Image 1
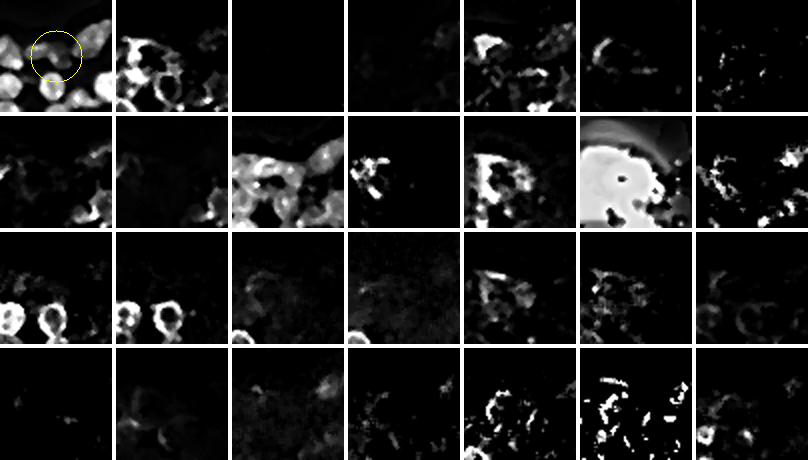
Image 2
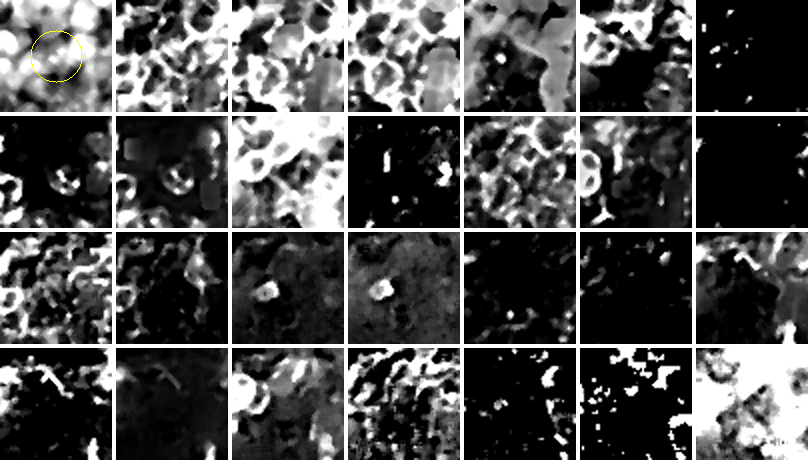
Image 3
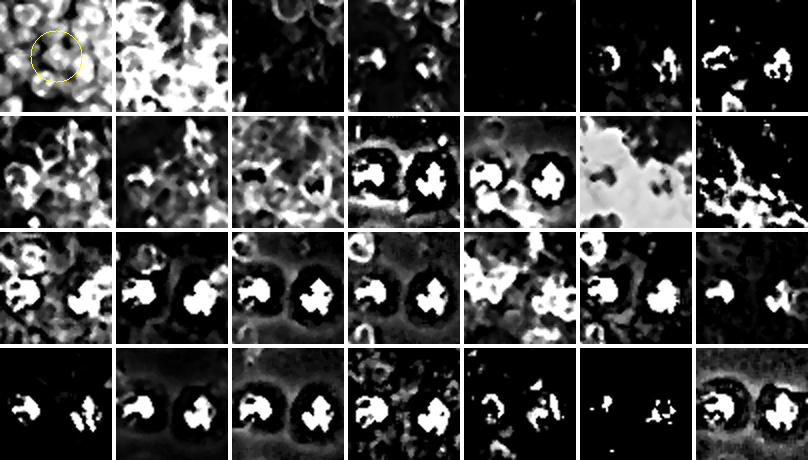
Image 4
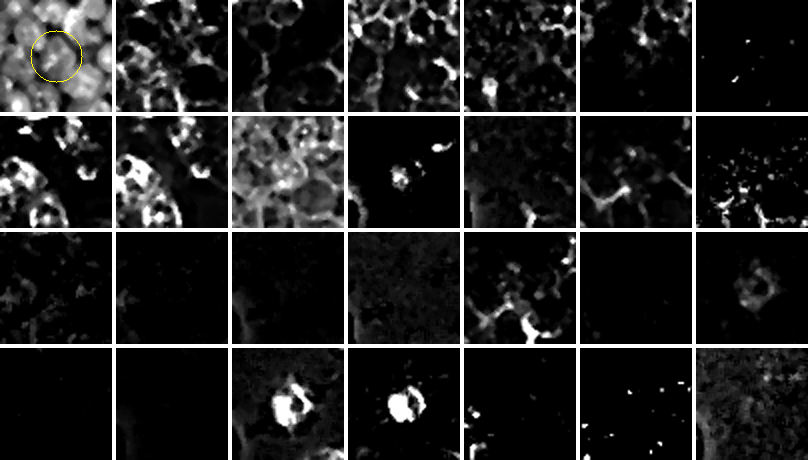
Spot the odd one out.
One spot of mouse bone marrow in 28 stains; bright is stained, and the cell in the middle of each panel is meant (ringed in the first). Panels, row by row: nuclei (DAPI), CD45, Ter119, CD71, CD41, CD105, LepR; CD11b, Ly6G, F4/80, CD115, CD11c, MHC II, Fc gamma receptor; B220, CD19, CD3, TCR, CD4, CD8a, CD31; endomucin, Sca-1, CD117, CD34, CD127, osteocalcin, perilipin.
Picture 4 (a common myeloid progenitor among conventional dendritic cells).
